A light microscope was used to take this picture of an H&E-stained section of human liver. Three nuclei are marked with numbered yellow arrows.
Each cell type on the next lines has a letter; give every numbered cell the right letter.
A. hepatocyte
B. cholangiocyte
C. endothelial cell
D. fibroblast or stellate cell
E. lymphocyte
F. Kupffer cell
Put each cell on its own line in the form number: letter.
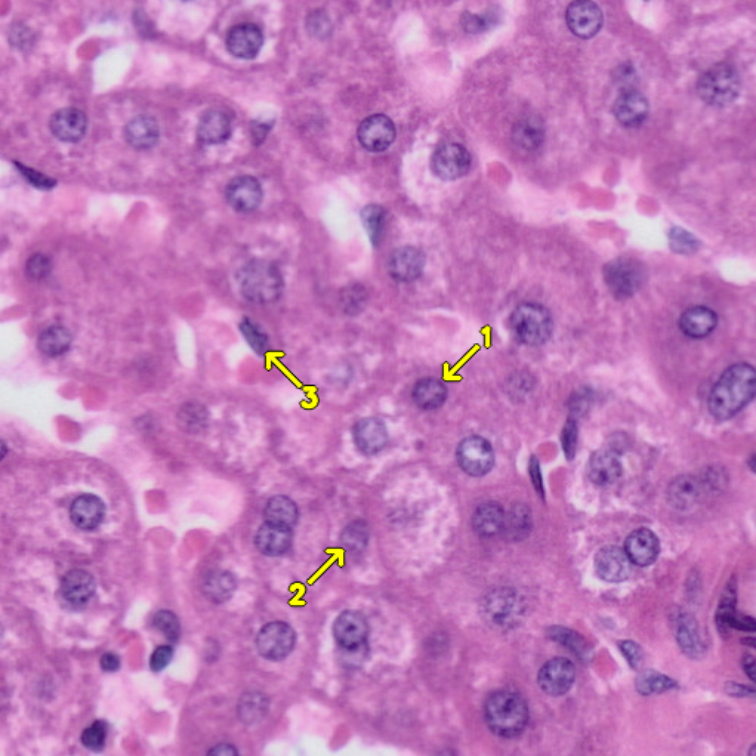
1: A
2: A
3: C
